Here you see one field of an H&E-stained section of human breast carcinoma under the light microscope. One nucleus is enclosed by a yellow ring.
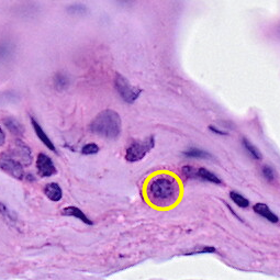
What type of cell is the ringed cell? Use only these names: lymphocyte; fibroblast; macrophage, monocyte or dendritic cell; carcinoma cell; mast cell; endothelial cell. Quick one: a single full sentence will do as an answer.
In the tissue at hand, the ringed cell is a mast cell.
